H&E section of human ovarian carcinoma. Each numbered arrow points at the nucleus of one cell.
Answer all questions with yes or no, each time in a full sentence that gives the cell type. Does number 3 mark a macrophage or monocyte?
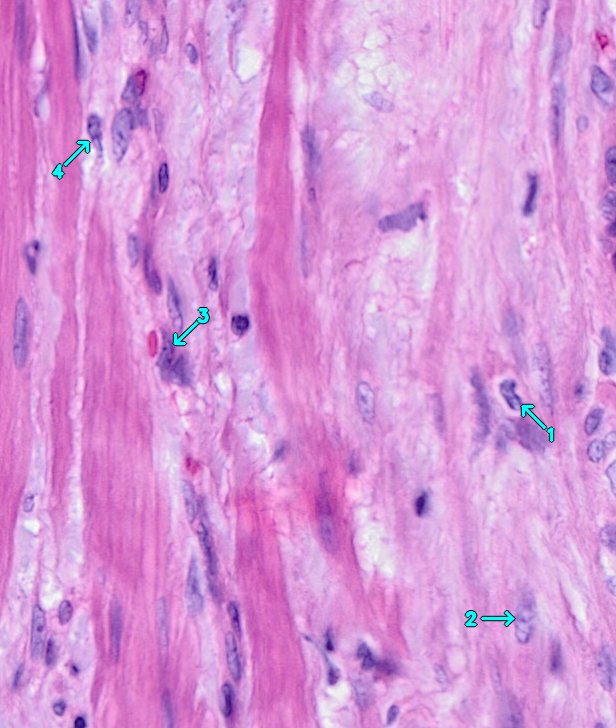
No, the cell with number 3 is not a macrophage or monocyte but an endothelial cell.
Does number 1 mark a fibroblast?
No, what number 1 shows is a lymphocyte, not a fibroblast.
